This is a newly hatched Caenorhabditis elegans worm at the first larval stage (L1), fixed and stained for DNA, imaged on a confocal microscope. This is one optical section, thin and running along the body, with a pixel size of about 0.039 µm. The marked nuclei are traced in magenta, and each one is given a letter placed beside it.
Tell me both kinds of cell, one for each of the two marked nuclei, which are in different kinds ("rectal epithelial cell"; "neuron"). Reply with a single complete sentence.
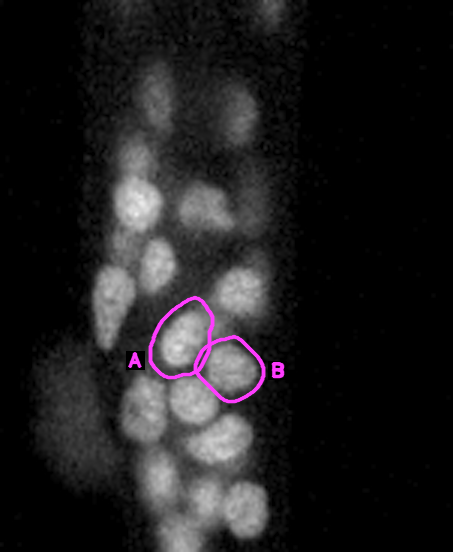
A is in a rectal epithelial cell and B is in a neuron.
